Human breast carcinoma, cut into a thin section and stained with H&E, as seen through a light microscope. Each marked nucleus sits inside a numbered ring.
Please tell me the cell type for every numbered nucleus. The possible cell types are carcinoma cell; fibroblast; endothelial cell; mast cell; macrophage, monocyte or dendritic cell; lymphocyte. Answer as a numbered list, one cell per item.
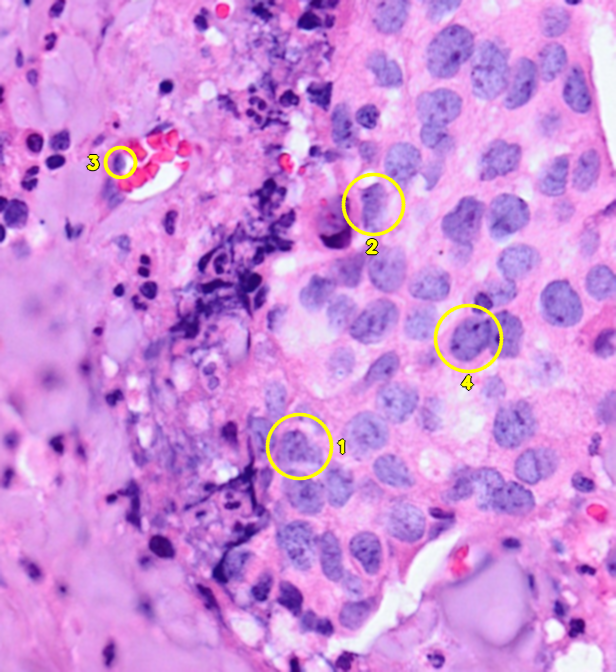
1. carcinoma cell
2. carcinoma cell
3. endothelial cell
4. carcinoma cell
